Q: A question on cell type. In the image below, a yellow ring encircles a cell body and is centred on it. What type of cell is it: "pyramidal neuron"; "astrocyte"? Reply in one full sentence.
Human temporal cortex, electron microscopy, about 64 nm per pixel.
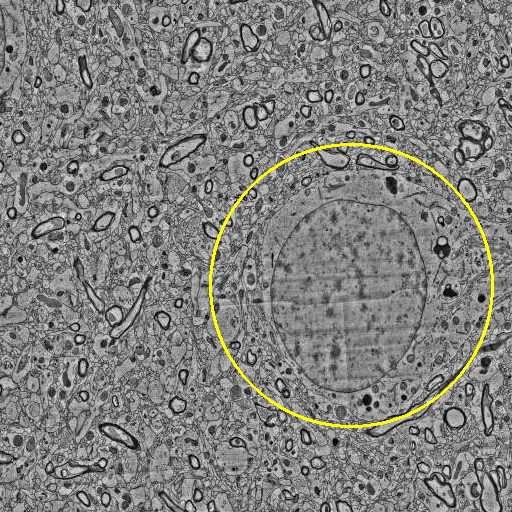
It is a pyramidal neuron whose cell body sits at the centre of the yellow ring in the image.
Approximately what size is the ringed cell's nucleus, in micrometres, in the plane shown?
In this plane the nucleus measures roughly 12 by 10 micrometres.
